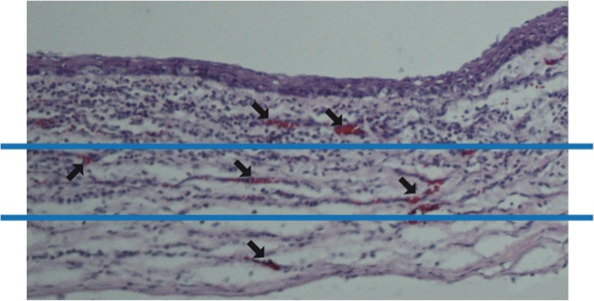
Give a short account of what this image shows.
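This is a section of cornea with blood vessels growing into its stroma. Along the upper surface runs a thin, multilayered epithelium of closely packed purple nuclei. Below it the stroma consists of pale pink, wavy lamellae lying parallel to the surface, with spindle-shaped flattened nuclei between them and clefts opening between the deeper lamellae. The superficial stroma just under the epithelium is crowded with many small, dark, rounded nuclei. Scattered through the upper and middle stroma are narrow, elongated channels filled with bright red material, the blood-filled vessels, lying along the direction of the lamellae; fewer are seen in the deepest part.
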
